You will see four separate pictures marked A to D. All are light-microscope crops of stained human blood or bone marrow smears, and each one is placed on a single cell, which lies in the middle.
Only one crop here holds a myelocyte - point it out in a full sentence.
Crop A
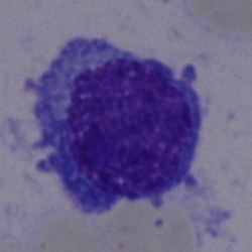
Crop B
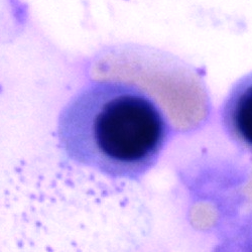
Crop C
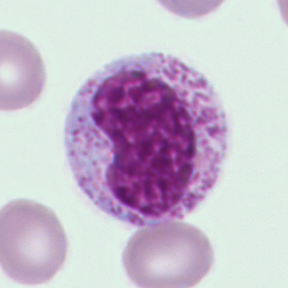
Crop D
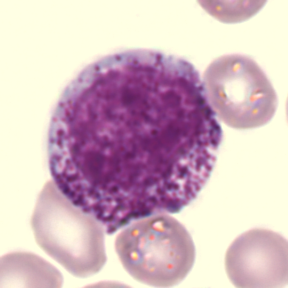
Crop D is the crop in which a myelocyte is shown.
